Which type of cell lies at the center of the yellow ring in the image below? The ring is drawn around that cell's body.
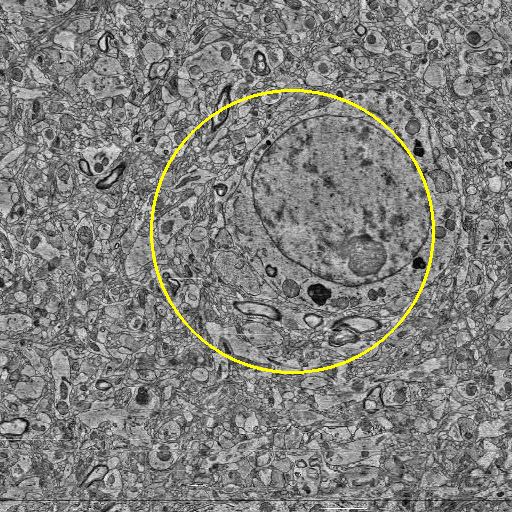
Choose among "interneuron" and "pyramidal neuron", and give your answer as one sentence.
The cell body at the center belongs to a pyramidal neuron.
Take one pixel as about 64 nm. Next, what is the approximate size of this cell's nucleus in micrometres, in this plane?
Approximately 12 x 10 micrometres in this plane.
